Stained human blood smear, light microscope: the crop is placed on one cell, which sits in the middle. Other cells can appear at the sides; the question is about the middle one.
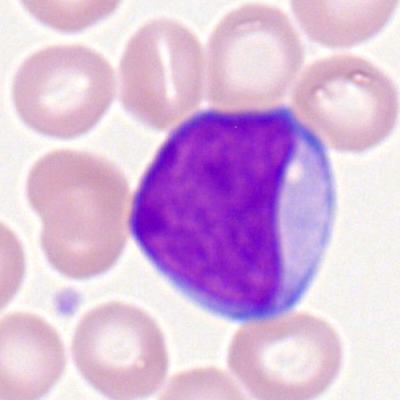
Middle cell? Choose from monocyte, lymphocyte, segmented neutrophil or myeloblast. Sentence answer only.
Present in the middle of the crop is a myeloblast.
